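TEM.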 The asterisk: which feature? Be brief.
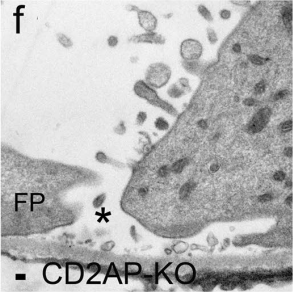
Widened slit pore.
